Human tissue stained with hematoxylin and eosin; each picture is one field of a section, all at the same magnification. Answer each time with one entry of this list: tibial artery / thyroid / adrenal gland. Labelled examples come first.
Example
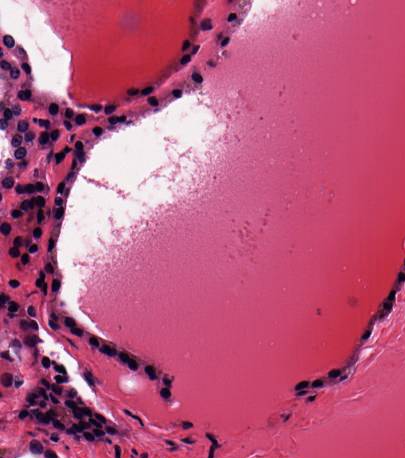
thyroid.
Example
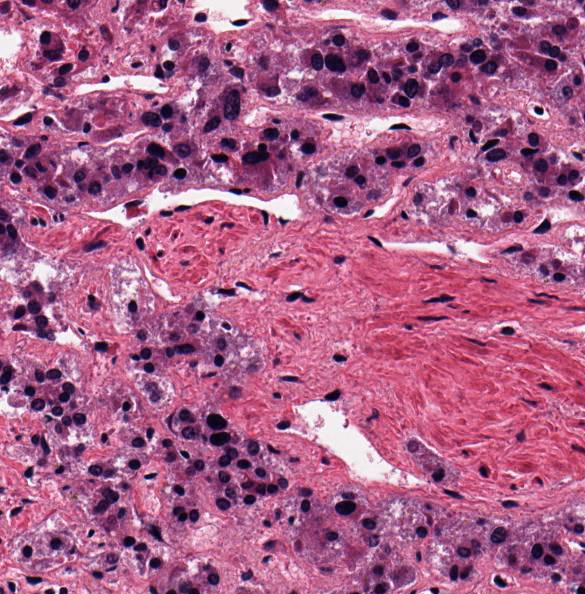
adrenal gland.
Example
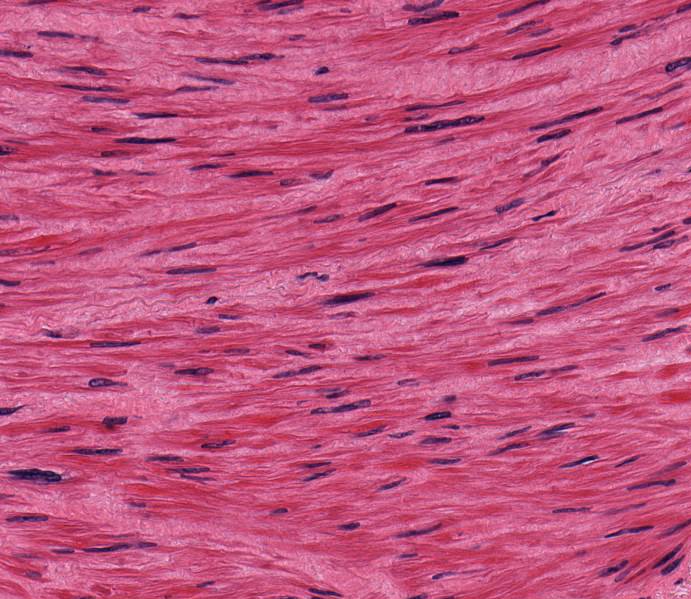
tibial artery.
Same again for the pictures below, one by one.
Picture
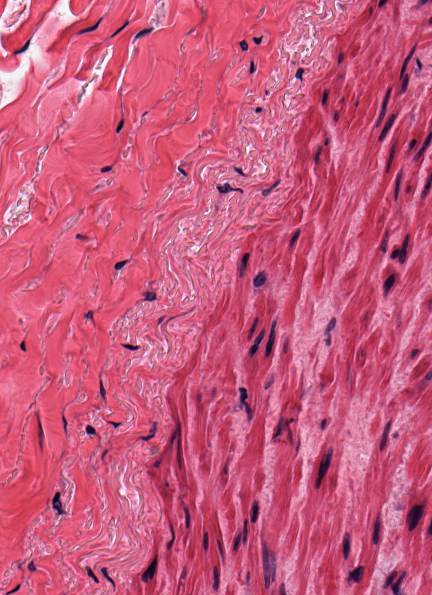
tibial artery.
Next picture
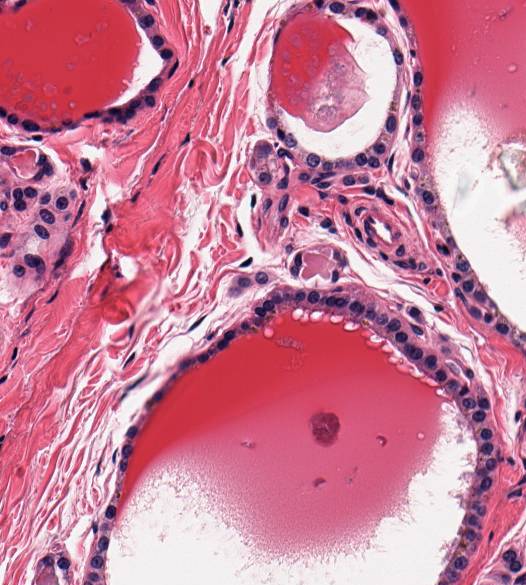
thyroid.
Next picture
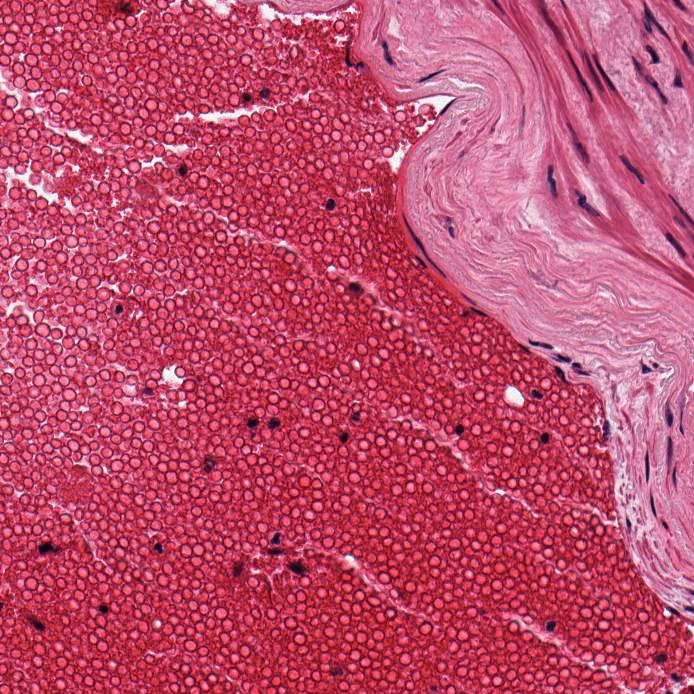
tibial artery.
